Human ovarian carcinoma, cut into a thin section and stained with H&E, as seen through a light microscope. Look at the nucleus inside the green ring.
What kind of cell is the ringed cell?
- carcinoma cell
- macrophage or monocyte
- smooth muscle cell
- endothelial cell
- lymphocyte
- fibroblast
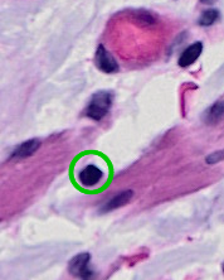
lymphocyte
